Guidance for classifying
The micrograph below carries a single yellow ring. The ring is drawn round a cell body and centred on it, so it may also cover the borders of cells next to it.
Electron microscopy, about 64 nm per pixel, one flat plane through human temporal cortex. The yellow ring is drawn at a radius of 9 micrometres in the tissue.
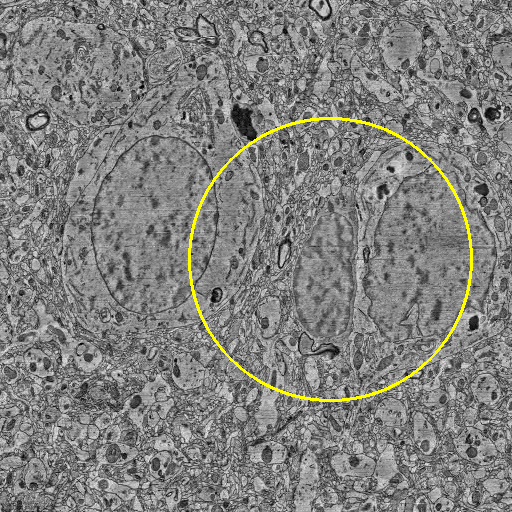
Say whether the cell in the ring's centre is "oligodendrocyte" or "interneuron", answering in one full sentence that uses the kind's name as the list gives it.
Within the yellow ring, an oligodendrocyte is the cell whose body sits at the centre.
